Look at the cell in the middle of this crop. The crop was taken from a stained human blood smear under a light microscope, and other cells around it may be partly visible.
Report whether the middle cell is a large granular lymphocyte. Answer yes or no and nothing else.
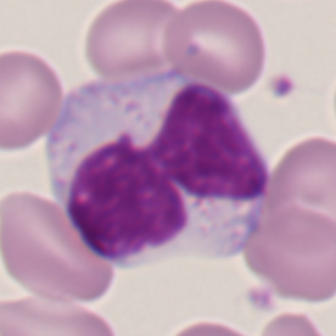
yes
